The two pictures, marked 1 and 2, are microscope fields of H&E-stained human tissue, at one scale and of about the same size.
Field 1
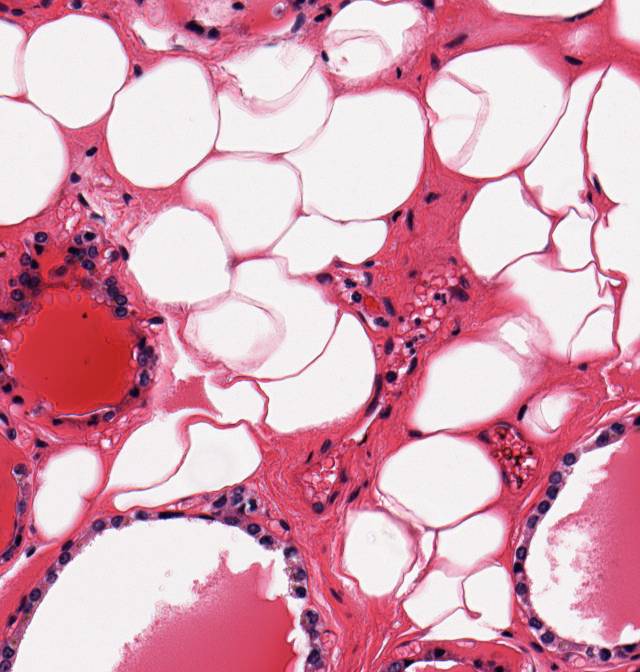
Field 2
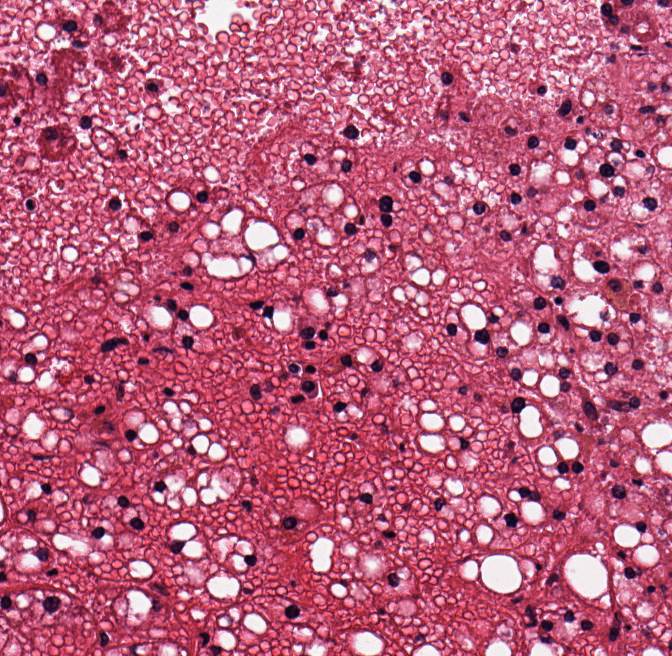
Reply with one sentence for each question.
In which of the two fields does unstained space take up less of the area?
Less of field 2 is empty and white.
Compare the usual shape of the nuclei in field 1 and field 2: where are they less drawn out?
It is field 2 whose nuclei are the rounder.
